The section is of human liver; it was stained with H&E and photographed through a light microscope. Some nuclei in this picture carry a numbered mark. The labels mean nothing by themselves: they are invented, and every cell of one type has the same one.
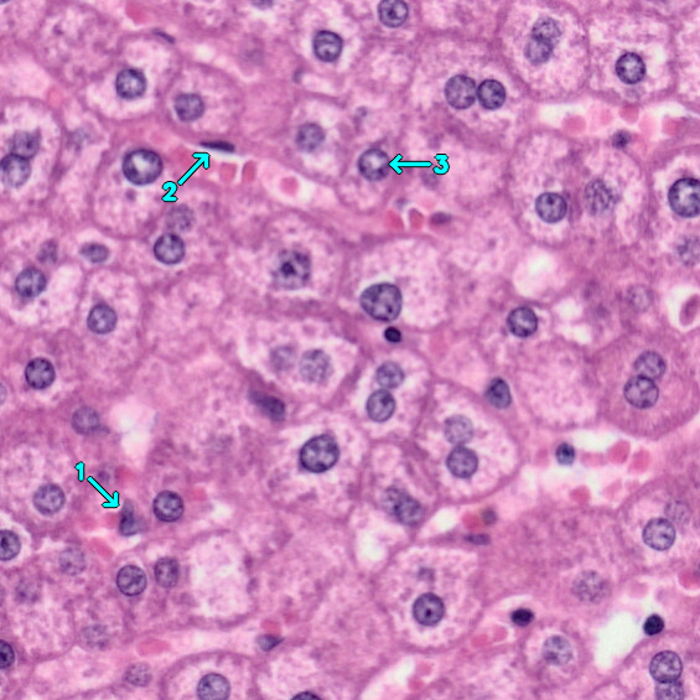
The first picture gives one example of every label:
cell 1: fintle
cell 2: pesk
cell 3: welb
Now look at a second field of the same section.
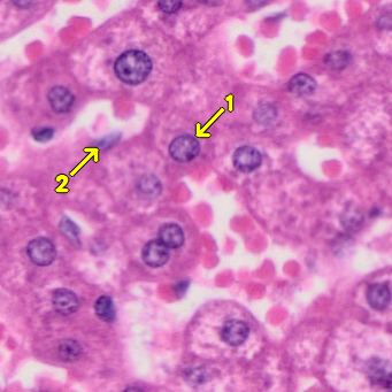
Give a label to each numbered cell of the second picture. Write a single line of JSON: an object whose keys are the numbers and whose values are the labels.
{"1": "welb", "2": "pesk"}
